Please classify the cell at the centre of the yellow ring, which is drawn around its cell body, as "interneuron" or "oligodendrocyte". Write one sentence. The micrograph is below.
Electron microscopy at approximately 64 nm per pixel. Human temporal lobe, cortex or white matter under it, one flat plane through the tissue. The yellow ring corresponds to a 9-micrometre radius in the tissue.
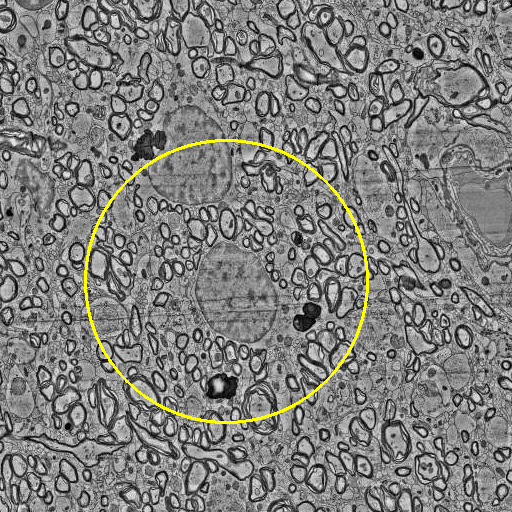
The cell at the ring's centre is classified as an oligodendrocyte.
